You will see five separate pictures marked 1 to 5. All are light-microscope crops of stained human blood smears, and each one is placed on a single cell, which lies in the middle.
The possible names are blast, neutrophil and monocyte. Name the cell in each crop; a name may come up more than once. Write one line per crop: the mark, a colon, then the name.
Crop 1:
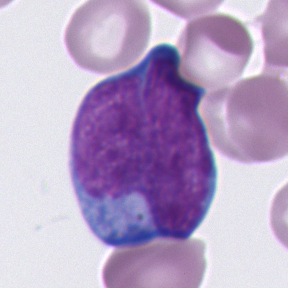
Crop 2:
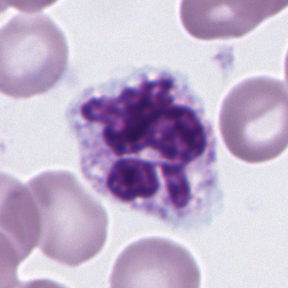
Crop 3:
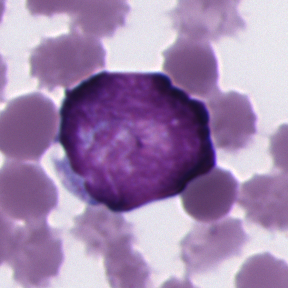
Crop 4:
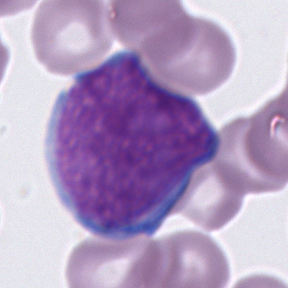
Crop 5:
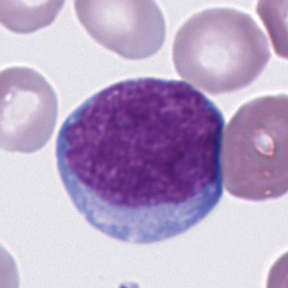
1: blast
2: neutrophil
3: blast
4: blast
5: blast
